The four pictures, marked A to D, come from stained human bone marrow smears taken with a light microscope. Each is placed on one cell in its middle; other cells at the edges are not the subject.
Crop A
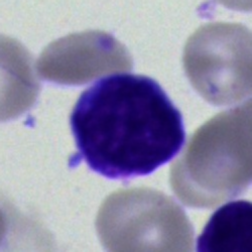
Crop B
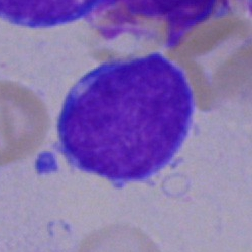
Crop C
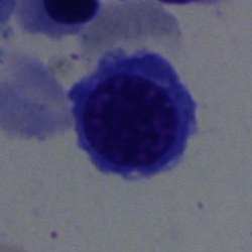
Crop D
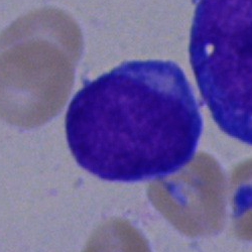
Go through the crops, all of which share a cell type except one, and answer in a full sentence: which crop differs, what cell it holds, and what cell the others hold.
Of the crops, all show blasts save crop C, which shows an erythroblast.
